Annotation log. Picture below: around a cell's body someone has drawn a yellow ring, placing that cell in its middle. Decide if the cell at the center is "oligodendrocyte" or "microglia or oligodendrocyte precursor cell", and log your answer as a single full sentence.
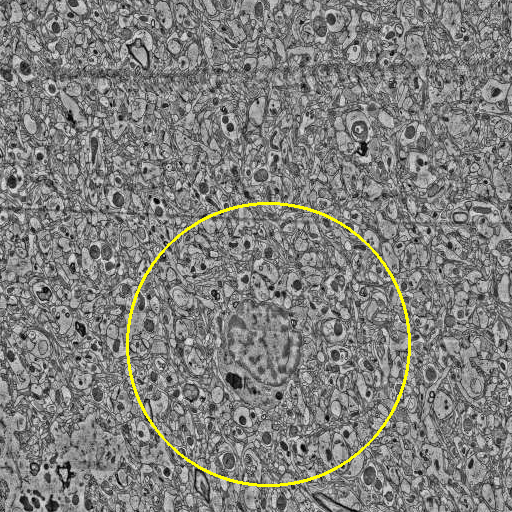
My entry records an oligodendrocyte as the cell sitting at the center of the yellow ring.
